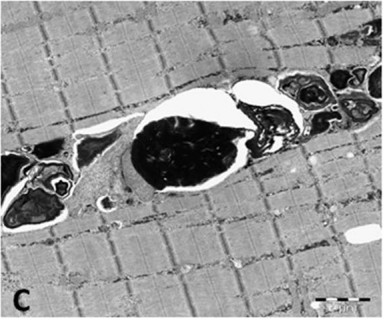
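This is skeletal muscle seen by electron microscopy, with regular myofibrils showing their repeating sarcomeres with crisp Z-lines running across the field. Squeezed between the myofibrils runs a string of membrane-bound vacuoles of varying size. They are stuffed with heterogeneous material: very dense, dark granular masses and concentrically whorled, layered membranes, some with clear halos around them. The surrounding contractile apparatus looks largely orderly, so the vacuoles stand out as abnormal inclusions lying in the spaces between myofibrils rather than replacing them.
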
